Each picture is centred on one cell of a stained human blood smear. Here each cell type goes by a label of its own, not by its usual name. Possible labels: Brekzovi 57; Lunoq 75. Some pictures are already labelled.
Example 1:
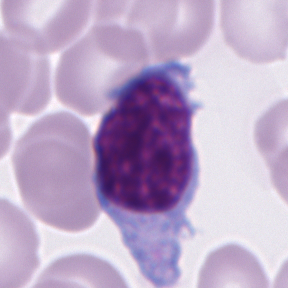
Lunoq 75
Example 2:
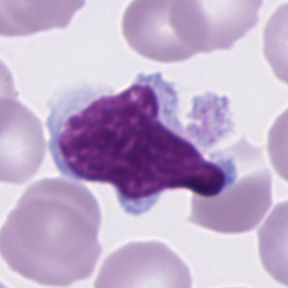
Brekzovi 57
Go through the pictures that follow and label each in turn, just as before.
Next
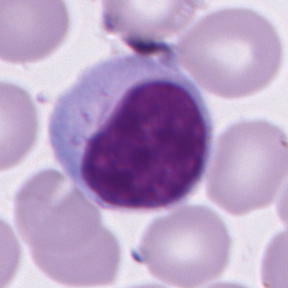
Brekzovi 57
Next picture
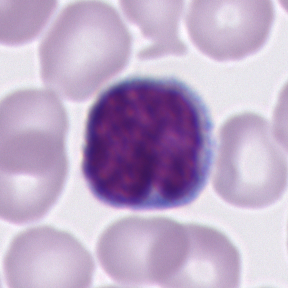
Lunoq 75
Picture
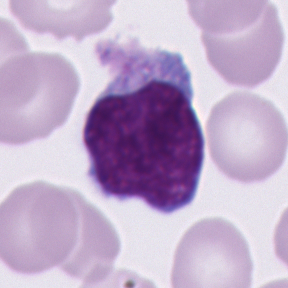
Lunoq 75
